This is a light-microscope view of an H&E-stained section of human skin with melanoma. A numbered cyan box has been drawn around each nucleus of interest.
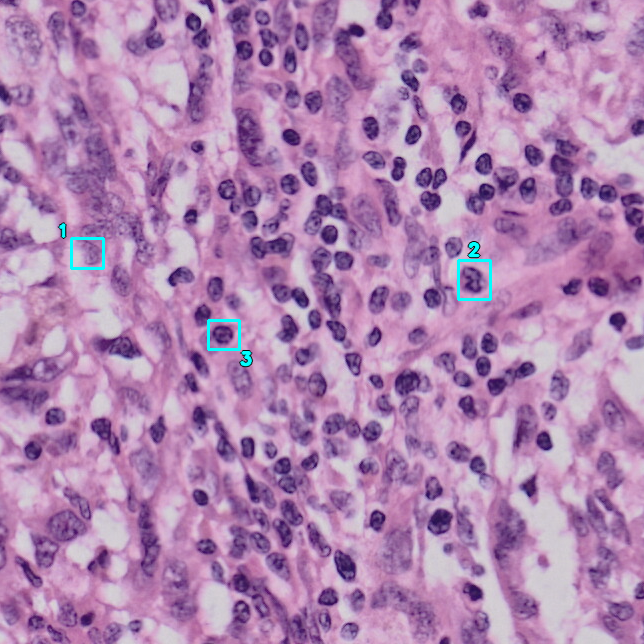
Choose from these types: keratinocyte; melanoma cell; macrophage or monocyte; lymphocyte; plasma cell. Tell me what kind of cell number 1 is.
melanoma cell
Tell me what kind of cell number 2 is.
plasma cell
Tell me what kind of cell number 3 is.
plasma cell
